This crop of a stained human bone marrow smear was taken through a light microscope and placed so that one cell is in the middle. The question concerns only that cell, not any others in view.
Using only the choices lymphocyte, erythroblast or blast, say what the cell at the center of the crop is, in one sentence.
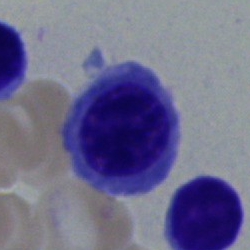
Regarding the central cell, it is an erythroblast.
